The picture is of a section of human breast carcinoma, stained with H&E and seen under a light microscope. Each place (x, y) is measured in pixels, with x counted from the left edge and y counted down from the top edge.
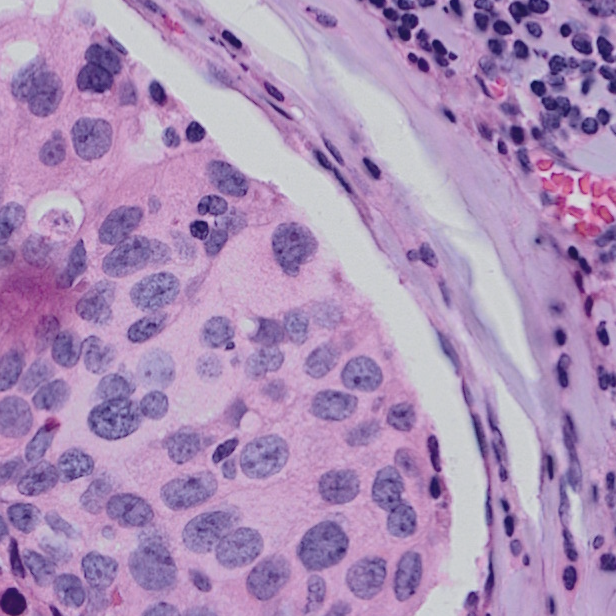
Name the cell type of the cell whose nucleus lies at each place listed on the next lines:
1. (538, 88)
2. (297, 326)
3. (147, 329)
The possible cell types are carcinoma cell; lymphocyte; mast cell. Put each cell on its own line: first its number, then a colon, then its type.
1: lymphocyte
2: carcinoma cell
3: carcinoma cell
